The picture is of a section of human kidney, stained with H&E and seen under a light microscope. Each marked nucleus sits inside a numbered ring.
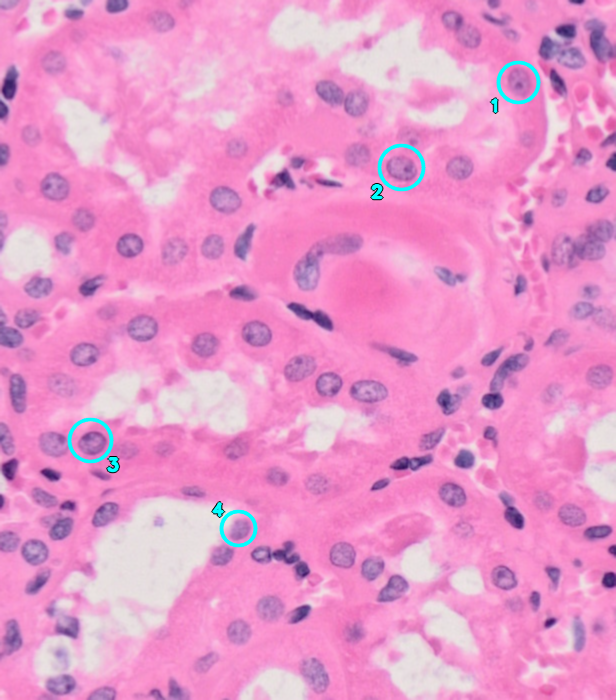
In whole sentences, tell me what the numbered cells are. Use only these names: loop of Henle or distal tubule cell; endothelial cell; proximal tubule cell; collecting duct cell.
Cell 1 is a proximal tubule cell, cell 2 is a proximal tubule cell, cell 3 is a proximal tubule cell and cell 4 is a loop of Henle or distal tubule cell.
